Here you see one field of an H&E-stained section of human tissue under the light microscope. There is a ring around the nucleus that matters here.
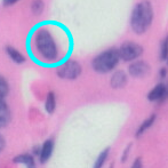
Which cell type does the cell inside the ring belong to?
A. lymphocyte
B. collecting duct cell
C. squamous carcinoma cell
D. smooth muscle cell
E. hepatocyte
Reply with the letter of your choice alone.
B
